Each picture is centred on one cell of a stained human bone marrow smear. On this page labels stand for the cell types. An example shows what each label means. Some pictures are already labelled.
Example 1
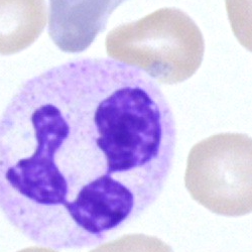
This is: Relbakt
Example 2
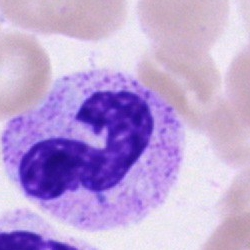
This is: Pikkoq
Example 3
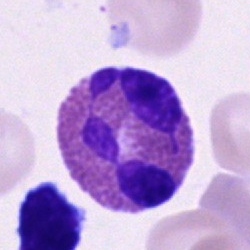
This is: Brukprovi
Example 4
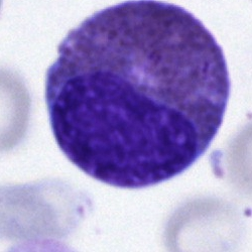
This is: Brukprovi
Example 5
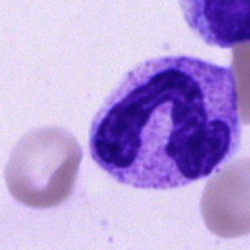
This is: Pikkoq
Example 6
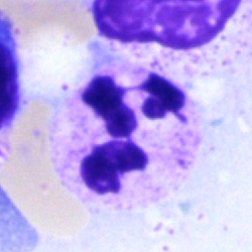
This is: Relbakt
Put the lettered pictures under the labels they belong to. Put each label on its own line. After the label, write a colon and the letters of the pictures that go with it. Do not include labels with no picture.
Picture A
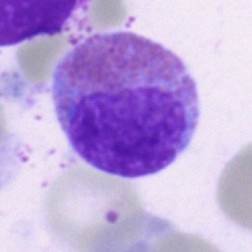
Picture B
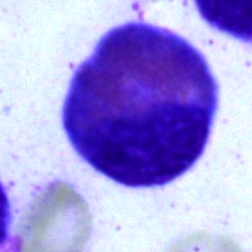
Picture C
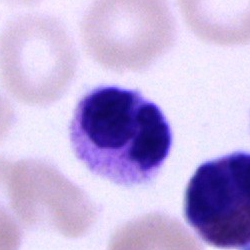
Relbakt: C
Brukprovi: A, B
